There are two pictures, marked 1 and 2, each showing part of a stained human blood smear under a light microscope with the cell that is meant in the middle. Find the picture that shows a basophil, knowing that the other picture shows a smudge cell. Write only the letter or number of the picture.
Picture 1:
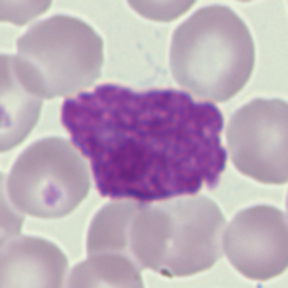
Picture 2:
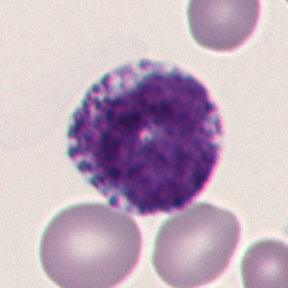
2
